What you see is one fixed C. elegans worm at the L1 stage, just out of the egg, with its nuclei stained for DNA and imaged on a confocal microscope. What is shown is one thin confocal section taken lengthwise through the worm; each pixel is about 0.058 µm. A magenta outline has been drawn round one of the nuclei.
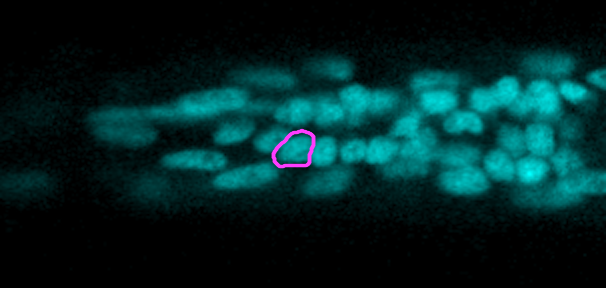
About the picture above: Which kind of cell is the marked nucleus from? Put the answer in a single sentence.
The marked nucleus belongs to a glial cell (sheath or socket).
